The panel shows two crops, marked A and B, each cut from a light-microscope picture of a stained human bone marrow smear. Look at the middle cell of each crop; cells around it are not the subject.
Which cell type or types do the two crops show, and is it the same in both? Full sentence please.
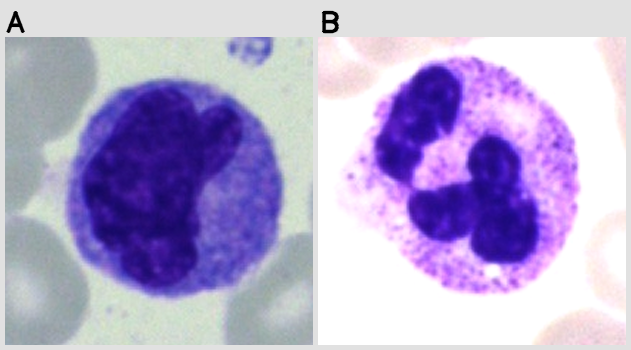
No, at the centre of crop A is a monocyte, and at the centre of crop B is a segmented neutrophil.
